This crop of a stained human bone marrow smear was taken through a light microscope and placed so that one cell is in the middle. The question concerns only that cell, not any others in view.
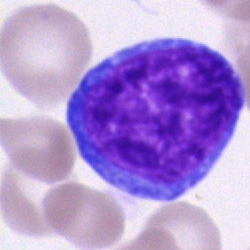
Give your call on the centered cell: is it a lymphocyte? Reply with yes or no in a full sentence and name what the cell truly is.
No, mark the middle cell as a blast, not a lymphocyte.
